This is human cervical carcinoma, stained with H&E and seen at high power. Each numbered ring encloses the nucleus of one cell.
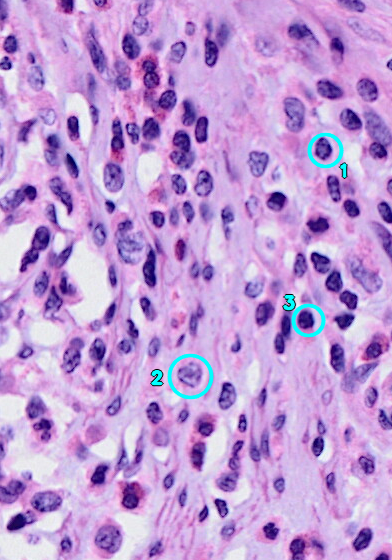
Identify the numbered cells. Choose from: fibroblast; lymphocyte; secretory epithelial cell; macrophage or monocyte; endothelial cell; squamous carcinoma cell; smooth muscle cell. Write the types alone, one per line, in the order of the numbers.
lymphocyte
macrophage or monocyte
lymphocyte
